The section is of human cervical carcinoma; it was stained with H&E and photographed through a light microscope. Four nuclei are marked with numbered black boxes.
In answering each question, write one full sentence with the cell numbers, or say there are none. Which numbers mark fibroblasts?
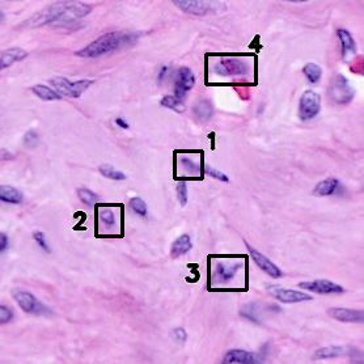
So, the cells with numbers 1 and 3 are fibroblasts.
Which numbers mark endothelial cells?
Only nucleus 4 belongs to an endothelial cell; the other numbered nuclei do not.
